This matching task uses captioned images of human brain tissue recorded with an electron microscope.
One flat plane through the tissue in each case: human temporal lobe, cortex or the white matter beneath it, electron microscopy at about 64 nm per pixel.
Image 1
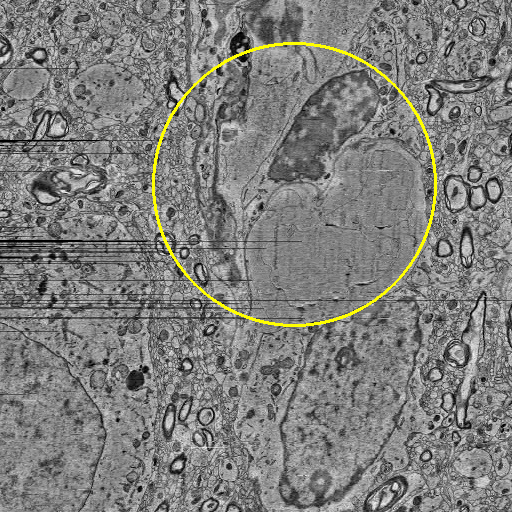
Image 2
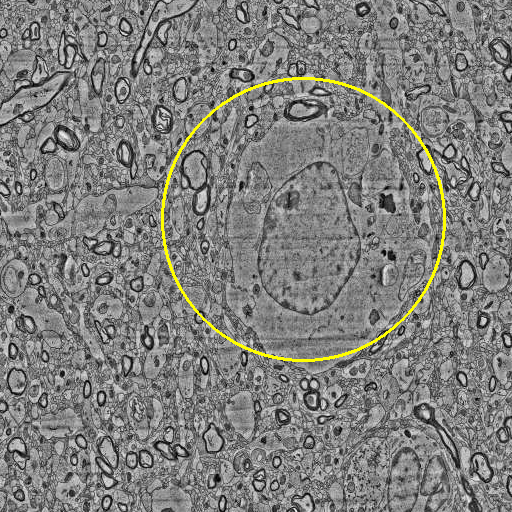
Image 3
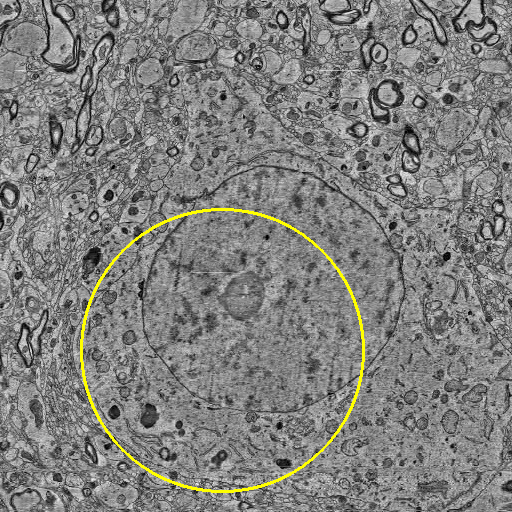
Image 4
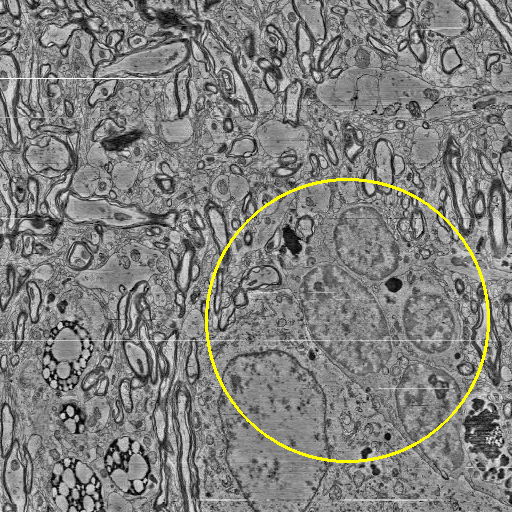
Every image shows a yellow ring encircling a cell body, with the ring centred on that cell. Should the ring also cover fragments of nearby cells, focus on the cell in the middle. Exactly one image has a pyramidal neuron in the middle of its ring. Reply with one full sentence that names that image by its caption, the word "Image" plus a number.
Image 3 shows the cell in question at the centre of its yellow ring.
